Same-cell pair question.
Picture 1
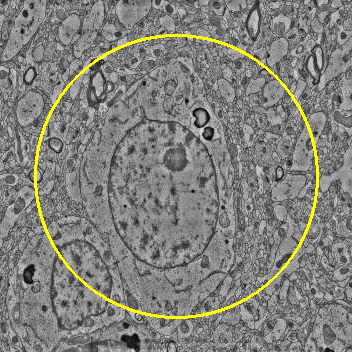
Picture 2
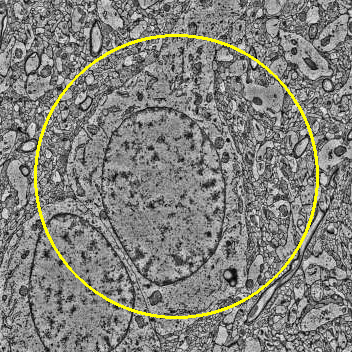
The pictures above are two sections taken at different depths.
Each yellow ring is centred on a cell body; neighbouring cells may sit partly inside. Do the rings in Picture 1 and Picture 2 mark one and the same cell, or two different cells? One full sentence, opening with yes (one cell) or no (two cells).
Yes, the cell inside the first ring is the cell inside the second.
